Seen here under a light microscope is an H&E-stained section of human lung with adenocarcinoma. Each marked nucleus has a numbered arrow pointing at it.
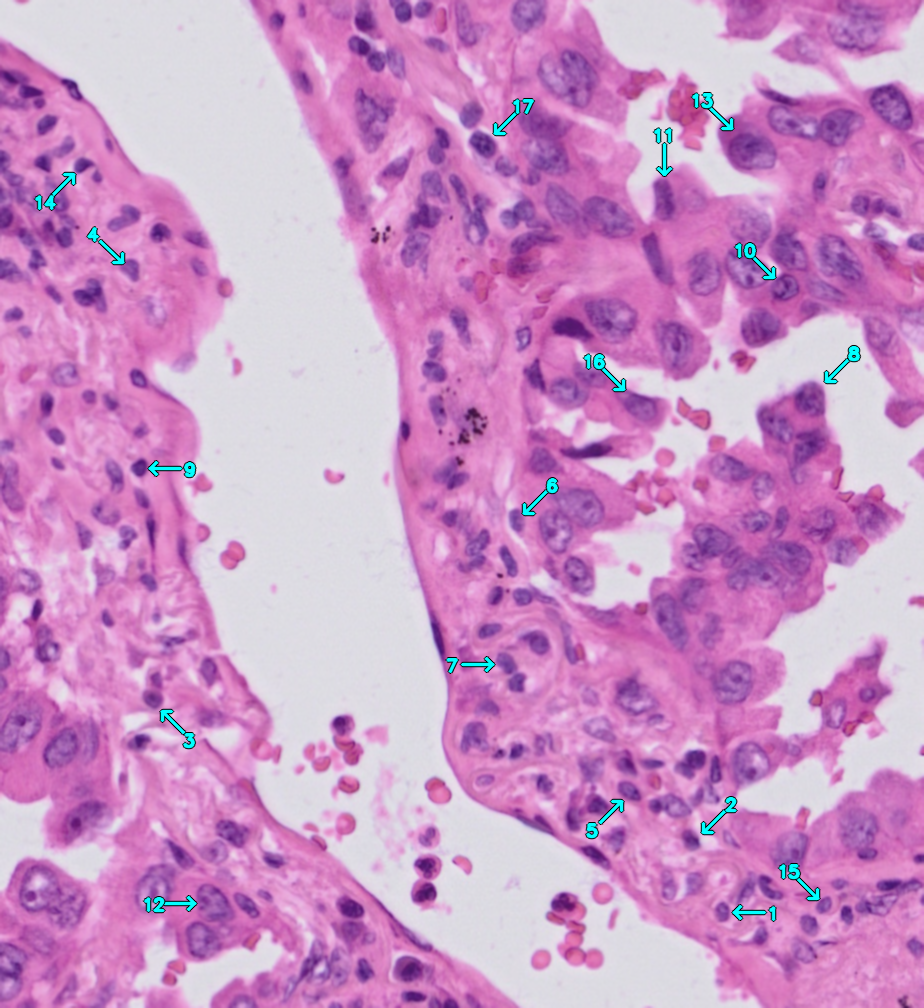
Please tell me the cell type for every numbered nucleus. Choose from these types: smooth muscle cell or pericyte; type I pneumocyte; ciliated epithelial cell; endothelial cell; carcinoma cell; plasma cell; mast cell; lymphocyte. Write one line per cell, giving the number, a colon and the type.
1: lymphocyte
2: lymphocyte
3: plasma cell
4: lymphocyte
5: mast cell
6: lymphocyte
7: lymphocyte
8: carcinoma cell
9: lymphocyte
10: carcinoma cell
11: carcinoma cell
12: carcinoma cell
13: carcinoma cell
14: lymphocyte
15: lymphocyte
16: carcinoma cell
17: lymphocyte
